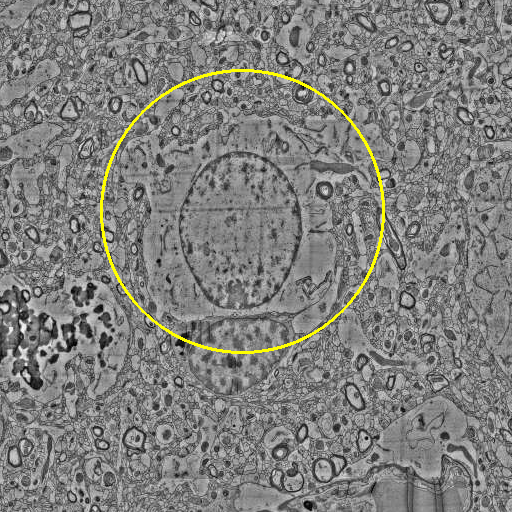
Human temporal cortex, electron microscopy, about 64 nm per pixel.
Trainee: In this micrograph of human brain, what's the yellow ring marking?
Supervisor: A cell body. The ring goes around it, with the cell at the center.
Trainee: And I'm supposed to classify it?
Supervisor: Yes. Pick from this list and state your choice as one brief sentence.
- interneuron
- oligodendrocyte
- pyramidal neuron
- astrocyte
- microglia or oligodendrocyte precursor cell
The cell at the ring's center is an astrocyte.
